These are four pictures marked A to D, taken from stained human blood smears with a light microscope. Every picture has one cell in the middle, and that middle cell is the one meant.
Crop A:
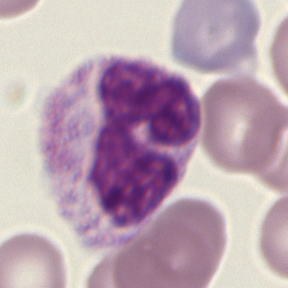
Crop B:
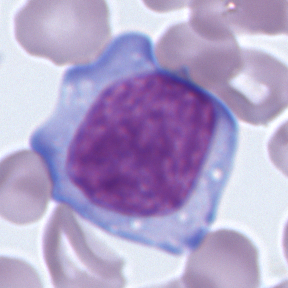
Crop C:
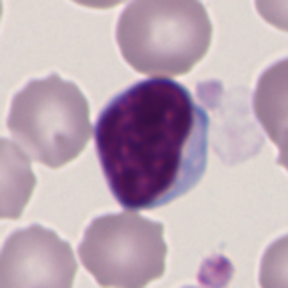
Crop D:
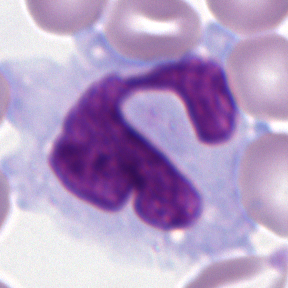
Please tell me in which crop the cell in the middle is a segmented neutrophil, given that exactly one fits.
A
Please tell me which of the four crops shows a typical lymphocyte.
C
